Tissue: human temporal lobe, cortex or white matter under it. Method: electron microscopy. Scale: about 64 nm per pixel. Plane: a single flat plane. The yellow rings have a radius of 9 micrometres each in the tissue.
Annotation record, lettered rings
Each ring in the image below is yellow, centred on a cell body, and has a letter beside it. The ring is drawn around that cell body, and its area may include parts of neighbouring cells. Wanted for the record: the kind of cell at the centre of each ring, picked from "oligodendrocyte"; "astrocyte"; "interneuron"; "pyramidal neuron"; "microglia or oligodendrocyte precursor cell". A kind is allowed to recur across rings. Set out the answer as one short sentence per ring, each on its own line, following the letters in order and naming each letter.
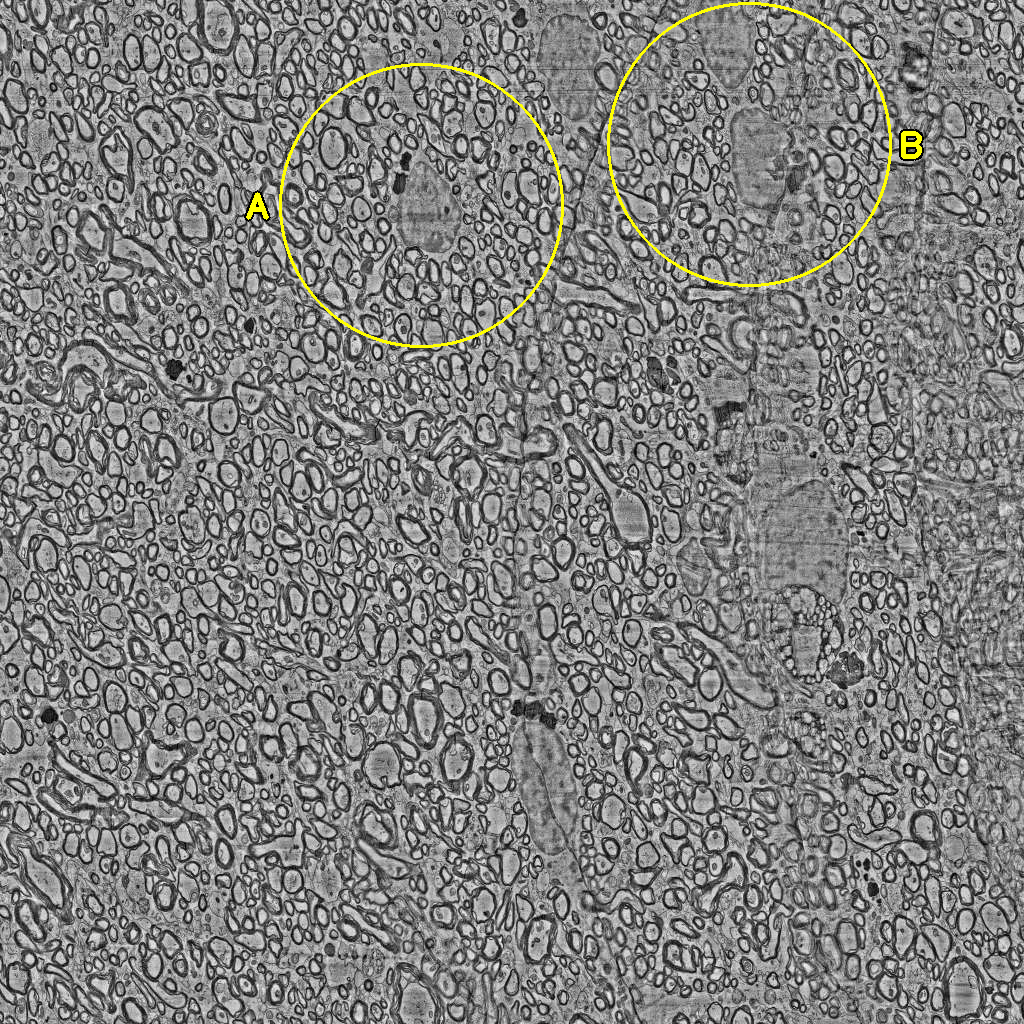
Ring A was drawn on an oligodendrocyte.
Ring B was drawn on an oligodendrocyte.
